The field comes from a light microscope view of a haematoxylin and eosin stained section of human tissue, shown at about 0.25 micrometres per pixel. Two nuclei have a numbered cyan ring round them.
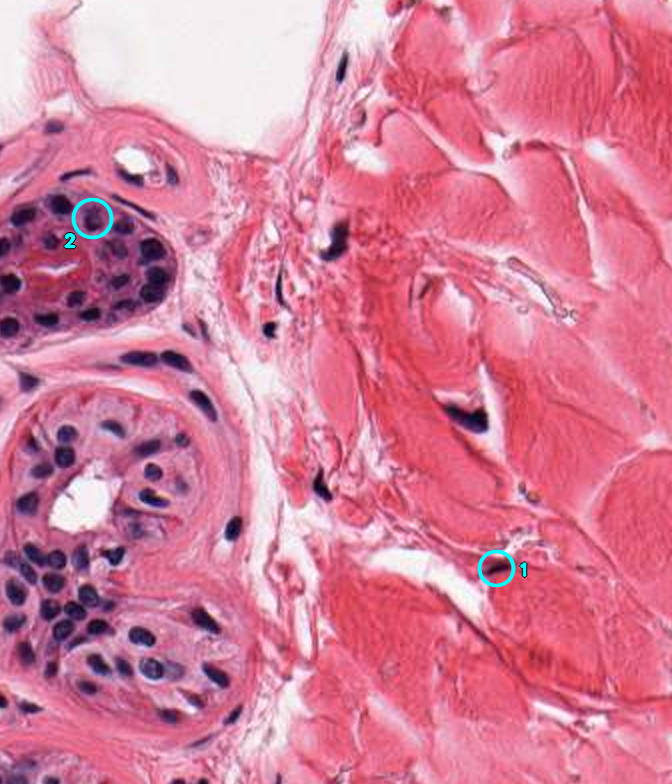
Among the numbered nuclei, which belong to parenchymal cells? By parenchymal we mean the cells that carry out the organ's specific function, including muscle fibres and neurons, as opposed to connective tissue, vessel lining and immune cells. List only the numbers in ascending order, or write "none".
2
